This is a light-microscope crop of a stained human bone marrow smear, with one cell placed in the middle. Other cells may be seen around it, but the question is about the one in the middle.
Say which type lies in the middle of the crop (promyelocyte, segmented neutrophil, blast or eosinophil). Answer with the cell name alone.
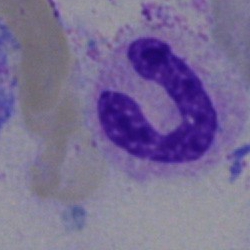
segmented neutrophil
